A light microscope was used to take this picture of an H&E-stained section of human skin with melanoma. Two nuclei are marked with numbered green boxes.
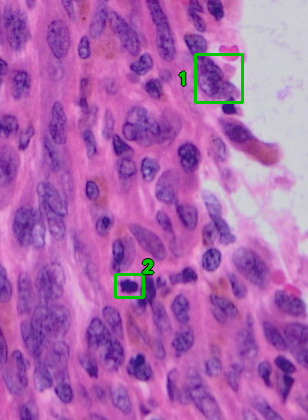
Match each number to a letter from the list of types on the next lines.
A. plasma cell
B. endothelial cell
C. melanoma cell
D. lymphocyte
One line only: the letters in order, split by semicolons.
C; D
